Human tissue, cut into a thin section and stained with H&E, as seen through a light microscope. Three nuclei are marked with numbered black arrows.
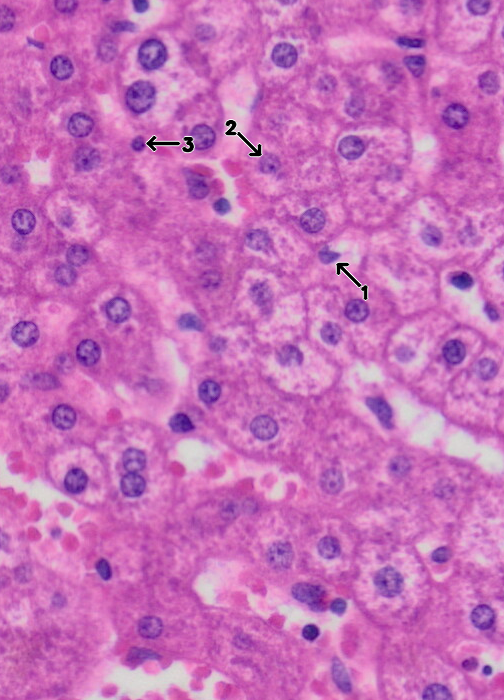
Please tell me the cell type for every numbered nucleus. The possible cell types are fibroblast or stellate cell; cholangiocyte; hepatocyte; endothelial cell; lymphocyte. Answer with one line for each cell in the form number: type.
1: endothelial cell
2: hepatocyte
3: lymphocyte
